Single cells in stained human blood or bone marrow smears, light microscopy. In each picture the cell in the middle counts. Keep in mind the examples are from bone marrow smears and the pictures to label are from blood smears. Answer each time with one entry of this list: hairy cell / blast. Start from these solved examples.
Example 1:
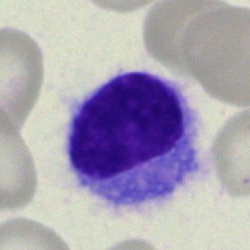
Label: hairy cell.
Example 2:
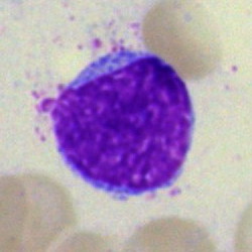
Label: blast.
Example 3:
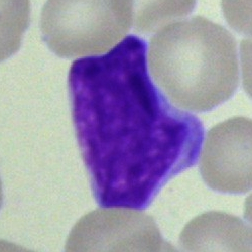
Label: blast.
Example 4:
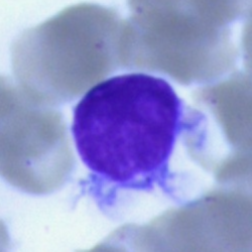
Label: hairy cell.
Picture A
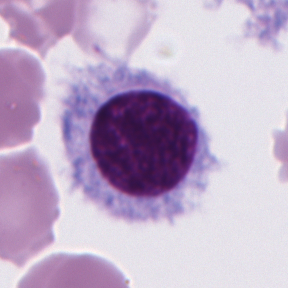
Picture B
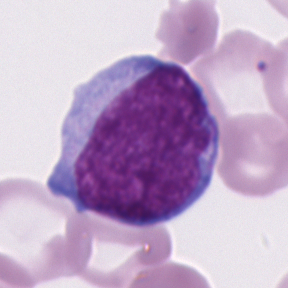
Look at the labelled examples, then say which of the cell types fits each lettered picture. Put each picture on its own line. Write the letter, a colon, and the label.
A: hairy cell.
B: blast.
